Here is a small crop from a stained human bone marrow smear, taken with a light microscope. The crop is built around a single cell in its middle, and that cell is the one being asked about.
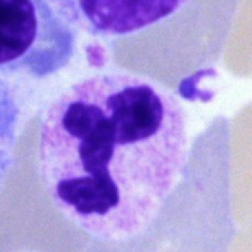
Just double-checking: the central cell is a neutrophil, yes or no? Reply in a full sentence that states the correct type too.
Yes, the cell of interest in the centre is a neutrophil.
